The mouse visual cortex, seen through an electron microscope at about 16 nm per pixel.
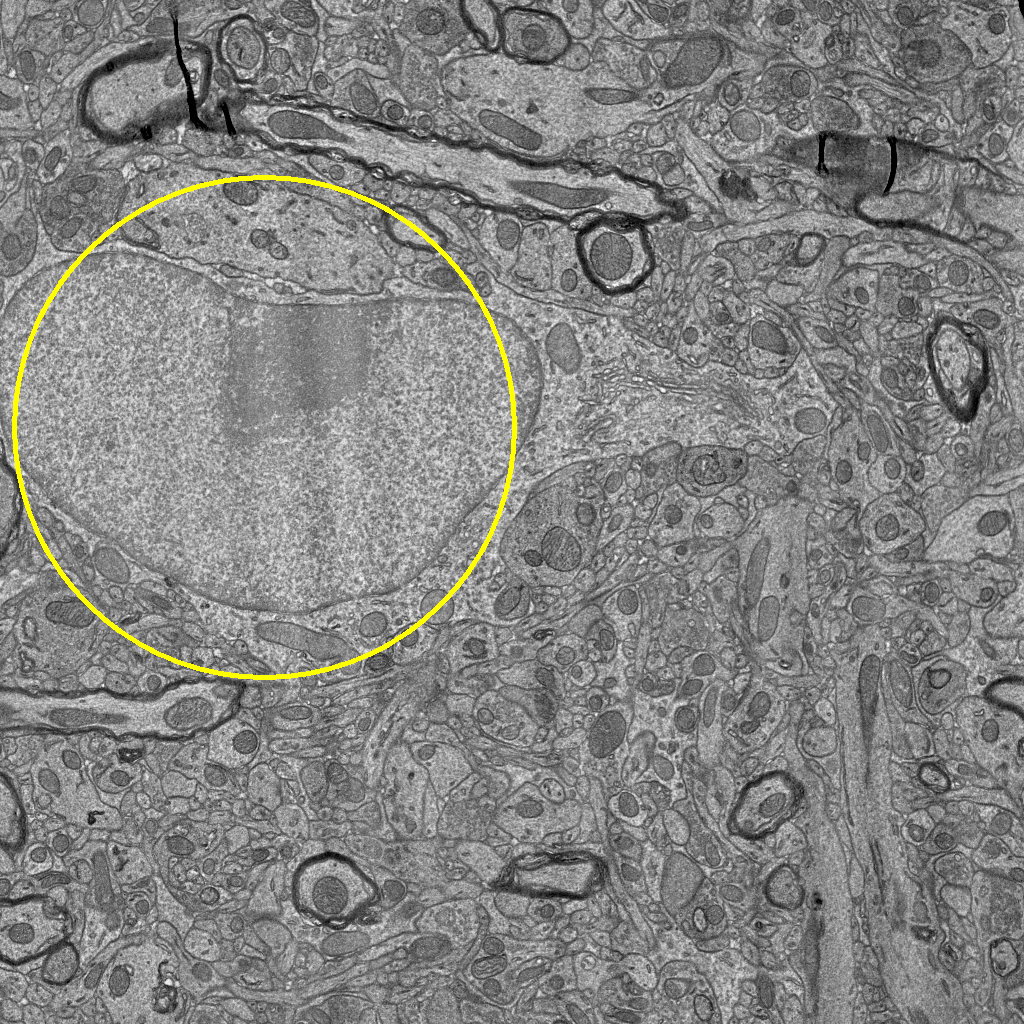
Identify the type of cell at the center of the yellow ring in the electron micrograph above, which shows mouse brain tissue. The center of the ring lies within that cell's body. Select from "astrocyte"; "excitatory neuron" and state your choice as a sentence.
The center of the yellow ring lies in the body of an astrocyte.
